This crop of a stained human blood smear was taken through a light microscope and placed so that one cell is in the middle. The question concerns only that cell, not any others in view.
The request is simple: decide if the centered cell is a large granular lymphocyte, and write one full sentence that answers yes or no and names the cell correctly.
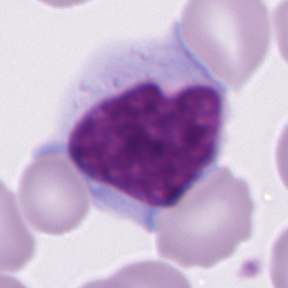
Yes, the cell in the middle is rightly called a large granular lymphocyte.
